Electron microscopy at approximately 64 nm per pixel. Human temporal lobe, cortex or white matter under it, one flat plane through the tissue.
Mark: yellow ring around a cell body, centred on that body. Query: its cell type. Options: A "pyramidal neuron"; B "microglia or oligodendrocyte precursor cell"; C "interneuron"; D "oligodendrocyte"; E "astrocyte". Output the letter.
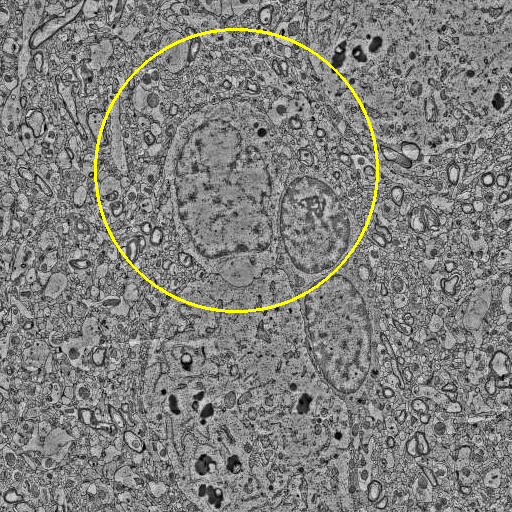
C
